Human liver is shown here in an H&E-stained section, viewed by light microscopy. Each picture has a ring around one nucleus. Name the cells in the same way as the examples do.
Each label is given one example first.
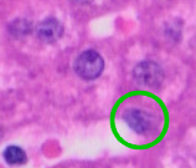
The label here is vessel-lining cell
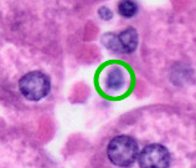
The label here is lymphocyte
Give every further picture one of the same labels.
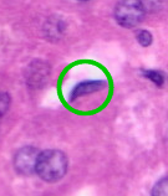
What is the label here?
vessel-lining cell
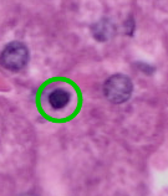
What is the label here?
lymphocyte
